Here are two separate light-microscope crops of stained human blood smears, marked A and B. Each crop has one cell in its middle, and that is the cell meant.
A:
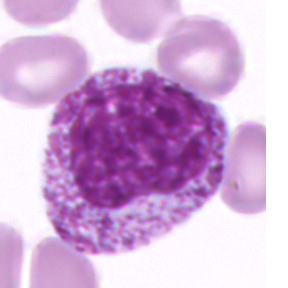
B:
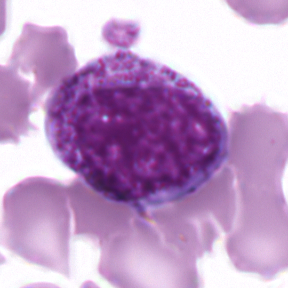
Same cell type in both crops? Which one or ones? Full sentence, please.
Yes, myelocytes are what the two crops show.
